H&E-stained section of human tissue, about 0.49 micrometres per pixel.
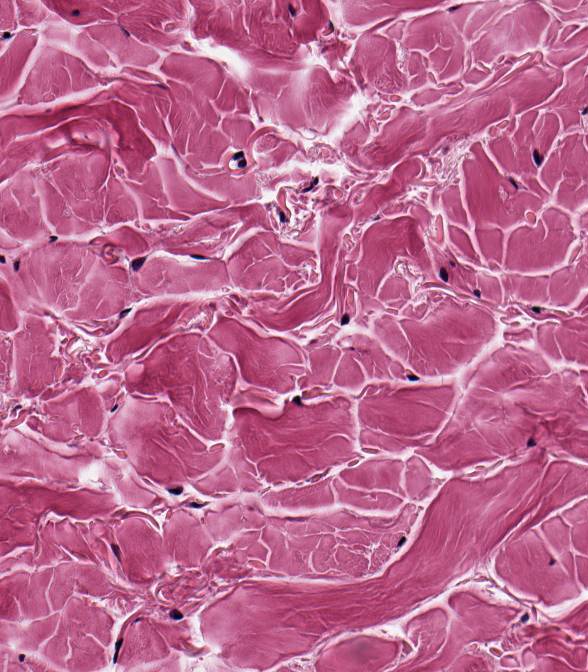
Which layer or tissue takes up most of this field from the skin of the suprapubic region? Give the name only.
dense connective tissue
